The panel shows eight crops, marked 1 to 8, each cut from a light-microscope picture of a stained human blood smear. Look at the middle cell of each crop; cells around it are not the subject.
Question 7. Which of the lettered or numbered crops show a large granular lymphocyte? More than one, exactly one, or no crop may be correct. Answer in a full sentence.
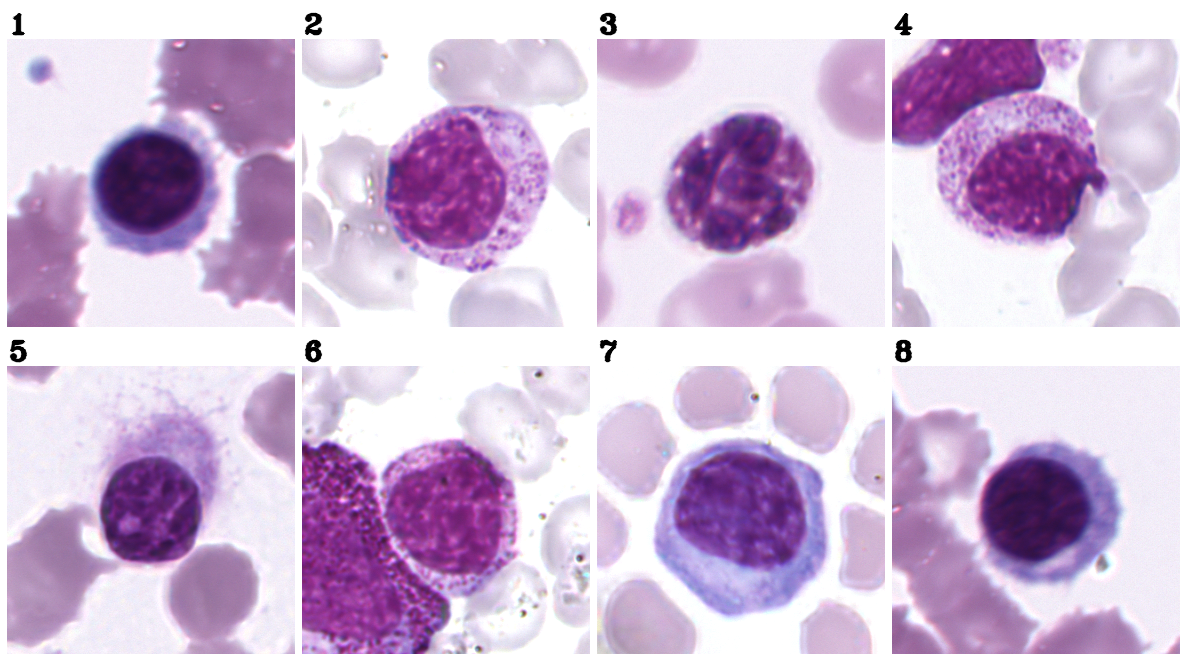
What none of the crops shows is a large granular lymphocyte.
